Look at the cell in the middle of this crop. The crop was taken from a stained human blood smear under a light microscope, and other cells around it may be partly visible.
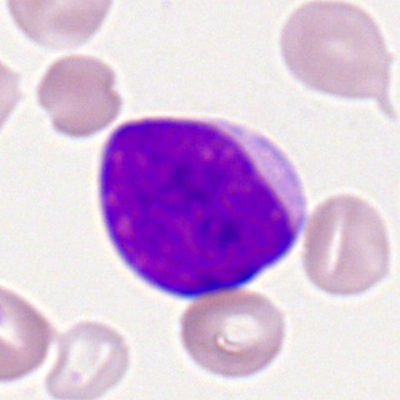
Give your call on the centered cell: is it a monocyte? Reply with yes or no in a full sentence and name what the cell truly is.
No, what sits in the centre of the crop is a myeloblast rather than a monocyte.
